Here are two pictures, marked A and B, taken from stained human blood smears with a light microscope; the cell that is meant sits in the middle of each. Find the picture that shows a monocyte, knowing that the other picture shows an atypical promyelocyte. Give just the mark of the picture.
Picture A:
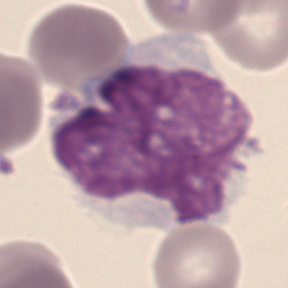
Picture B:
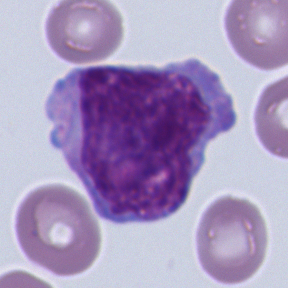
A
